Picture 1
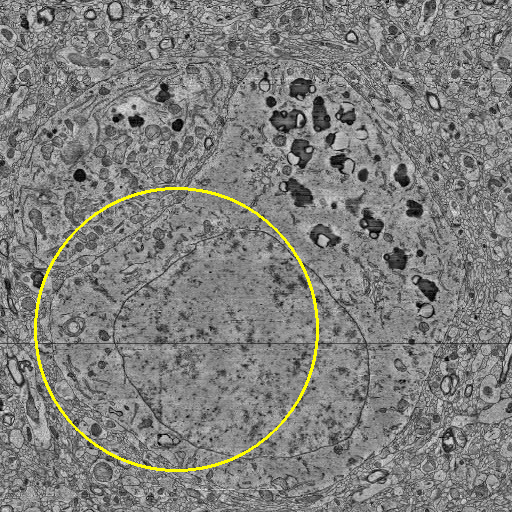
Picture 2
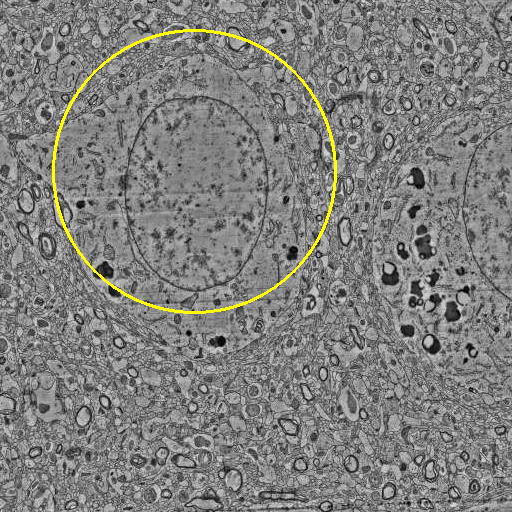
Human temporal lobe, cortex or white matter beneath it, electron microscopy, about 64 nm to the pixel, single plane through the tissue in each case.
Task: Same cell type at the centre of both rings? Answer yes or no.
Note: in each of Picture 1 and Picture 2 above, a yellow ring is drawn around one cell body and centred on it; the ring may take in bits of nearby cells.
yes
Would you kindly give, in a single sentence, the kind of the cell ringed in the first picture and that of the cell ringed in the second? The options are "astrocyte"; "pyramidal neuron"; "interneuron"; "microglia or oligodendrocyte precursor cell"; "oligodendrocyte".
Both the first and the second picture show a pyramidal neuron in the ring.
